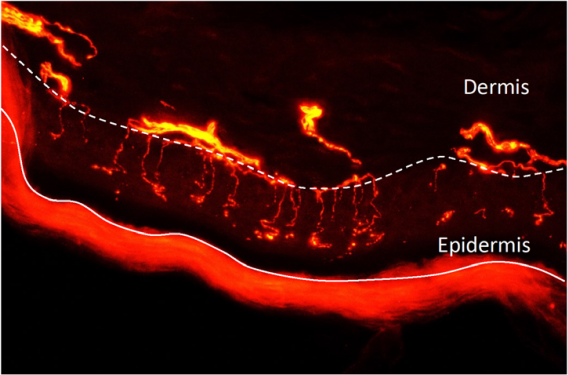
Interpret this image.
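Thick, brightly labelled fibre bundles run along and just above a dashed line that marks the boundary between the two layers. From this boundary, many thin, beaded fibres run roughly perpendicular into the epidermis towards a solid line. Below that line lies a broad, uniformly bright band of surface layer.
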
